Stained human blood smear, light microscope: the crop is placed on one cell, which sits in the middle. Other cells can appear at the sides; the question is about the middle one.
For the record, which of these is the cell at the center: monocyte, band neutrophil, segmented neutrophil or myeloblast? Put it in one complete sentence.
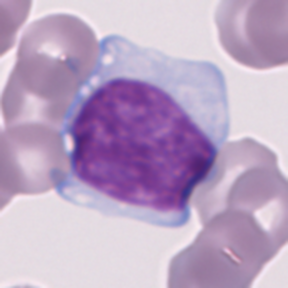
The cell of interest, in the center, is a myeloblast.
